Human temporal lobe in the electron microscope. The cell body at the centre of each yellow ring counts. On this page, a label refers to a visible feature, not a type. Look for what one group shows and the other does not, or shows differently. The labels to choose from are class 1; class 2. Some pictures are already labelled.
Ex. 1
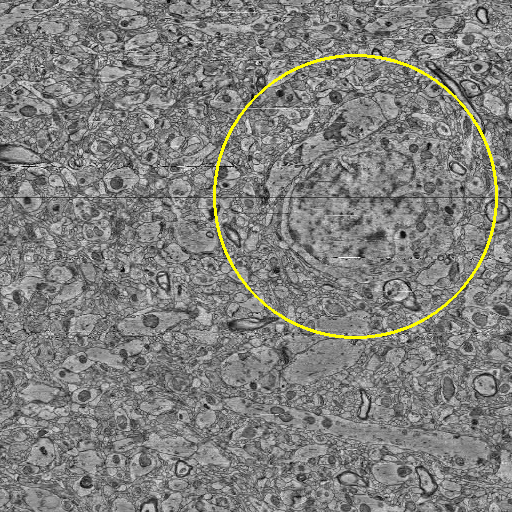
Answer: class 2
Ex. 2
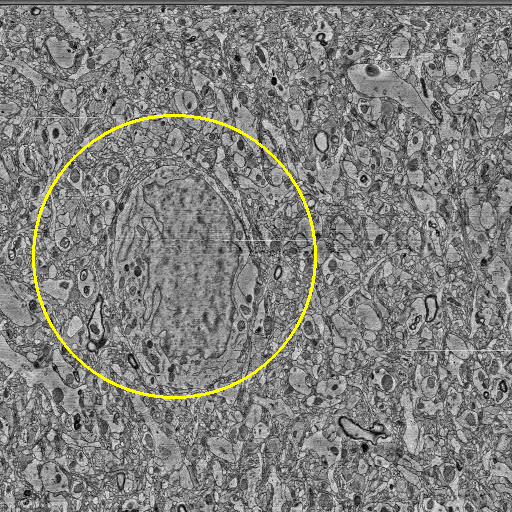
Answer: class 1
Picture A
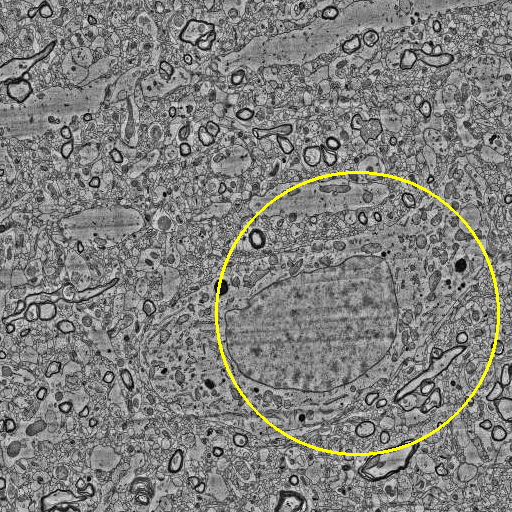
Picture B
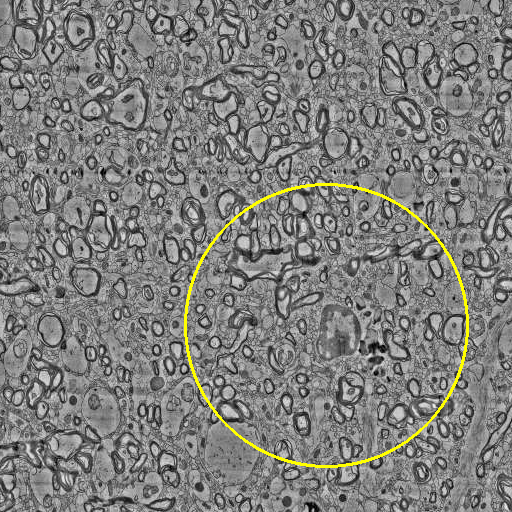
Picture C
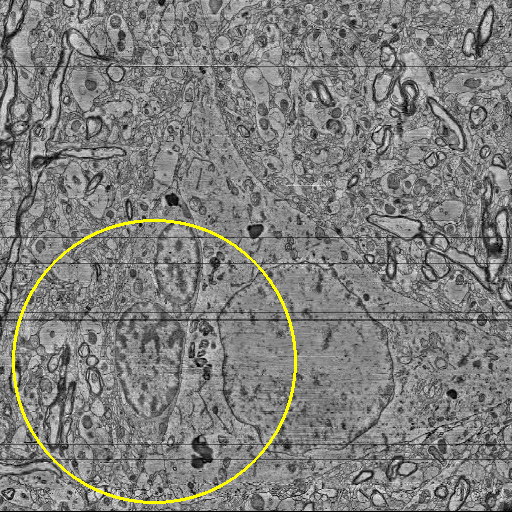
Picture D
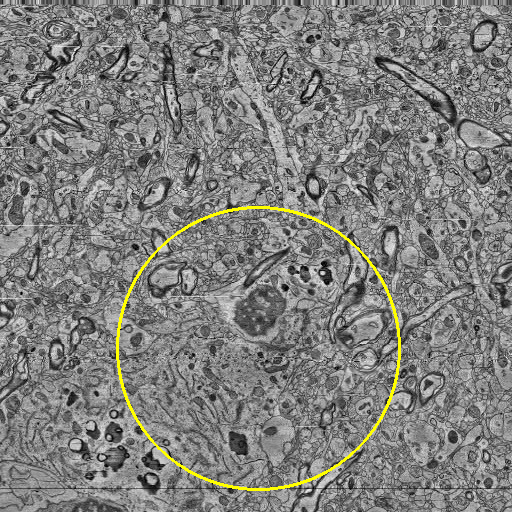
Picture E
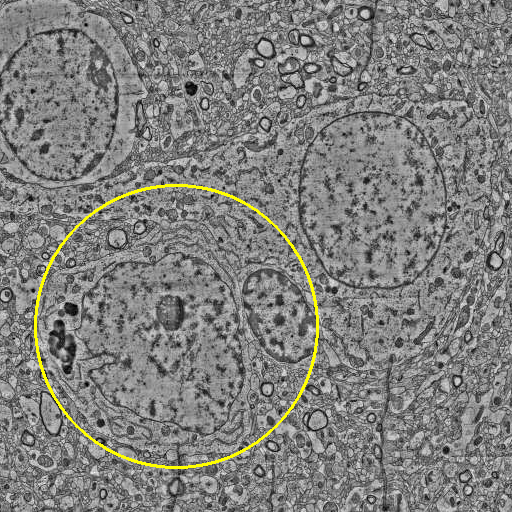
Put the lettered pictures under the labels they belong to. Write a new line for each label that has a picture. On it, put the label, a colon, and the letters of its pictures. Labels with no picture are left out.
class 1: A, C
class 2: B, D, E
